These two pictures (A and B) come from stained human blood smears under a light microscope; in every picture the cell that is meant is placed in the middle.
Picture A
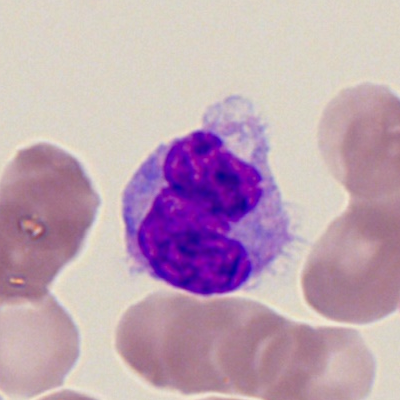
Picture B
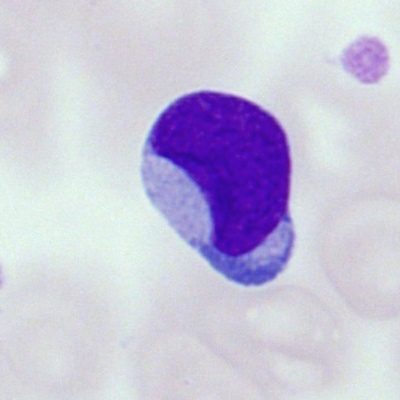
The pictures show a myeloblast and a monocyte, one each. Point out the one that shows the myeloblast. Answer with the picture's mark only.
B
